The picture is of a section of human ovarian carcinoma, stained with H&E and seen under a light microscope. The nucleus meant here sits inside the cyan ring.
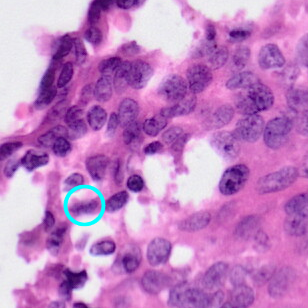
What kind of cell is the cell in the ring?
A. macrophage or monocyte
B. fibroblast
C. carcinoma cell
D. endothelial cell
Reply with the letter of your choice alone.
C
